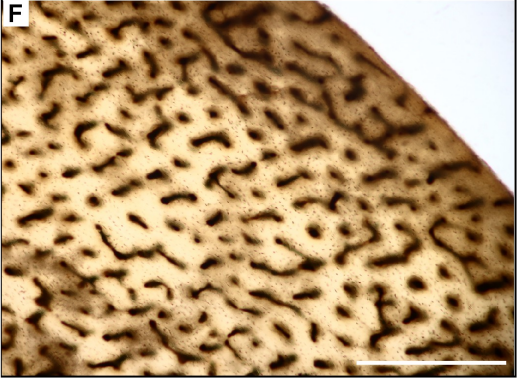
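This is the outer cortex of a bone in a ground section, pale tan matrix with the periosteal surface at the upper right edge. Deeper in, dark irregular and branching vascular canals form a network typical of reticular fibrolamellar bone, with many tiny dark osteocyte lacunae in the matrix between them.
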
